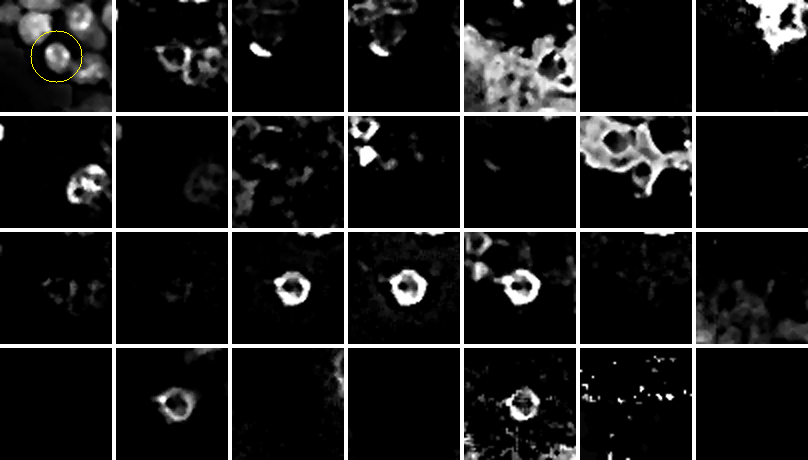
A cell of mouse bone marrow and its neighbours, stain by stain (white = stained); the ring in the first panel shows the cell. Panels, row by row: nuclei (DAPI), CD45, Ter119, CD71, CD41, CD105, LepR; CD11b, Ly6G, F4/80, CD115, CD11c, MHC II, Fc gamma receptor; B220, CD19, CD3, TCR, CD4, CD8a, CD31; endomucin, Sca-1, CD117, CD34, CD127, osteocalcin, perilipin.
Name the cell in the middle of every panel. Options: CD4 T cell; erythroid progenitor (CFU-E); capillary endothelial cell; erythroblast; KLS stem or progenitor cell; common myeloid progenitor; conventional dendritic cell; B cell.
CD4 T cell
